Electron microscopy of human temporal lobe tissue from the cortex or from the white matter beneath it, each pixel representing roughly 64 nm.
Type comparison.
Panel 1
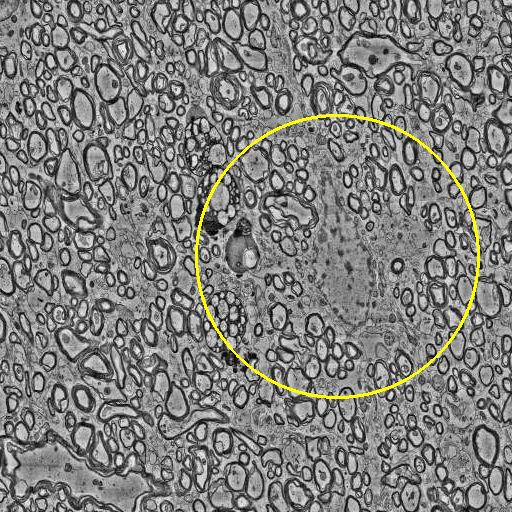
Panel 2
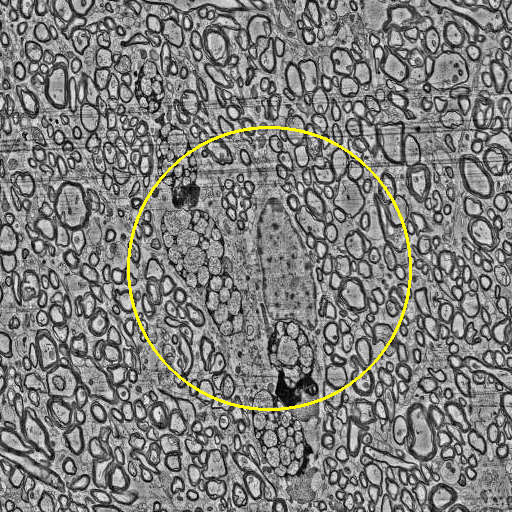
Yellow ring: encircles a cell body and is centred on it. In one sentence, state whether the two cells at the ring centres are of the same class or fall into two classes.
In these panels, the two cells at the ring centres are of the same class.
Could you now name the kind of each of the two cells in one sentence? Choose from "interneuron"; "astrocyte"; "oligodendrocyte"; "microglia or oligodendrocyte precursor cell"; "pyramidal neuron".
Each of the two rings is centred on an astrocyte.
